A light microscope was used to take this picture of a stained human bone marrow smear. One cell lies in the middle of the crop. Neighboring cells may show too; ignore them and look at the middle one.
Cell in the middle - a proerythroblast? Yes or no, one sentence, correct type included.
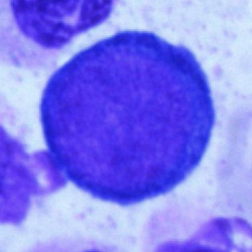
Yes, the cell at the middle is a proerythroblast.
